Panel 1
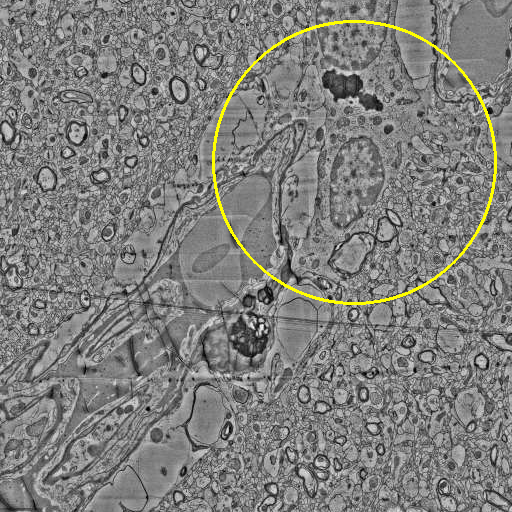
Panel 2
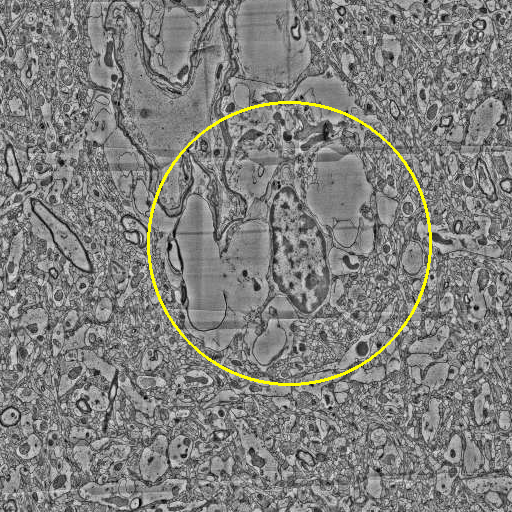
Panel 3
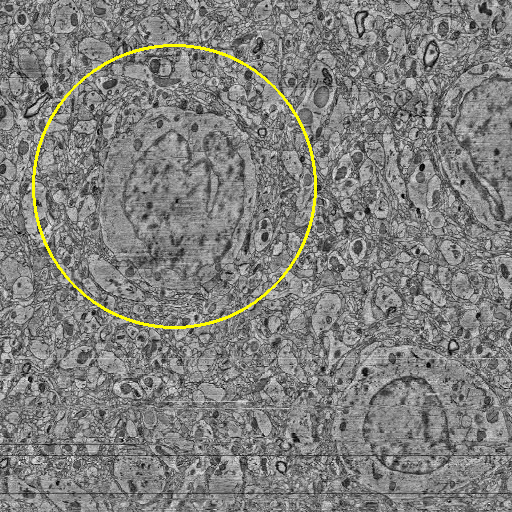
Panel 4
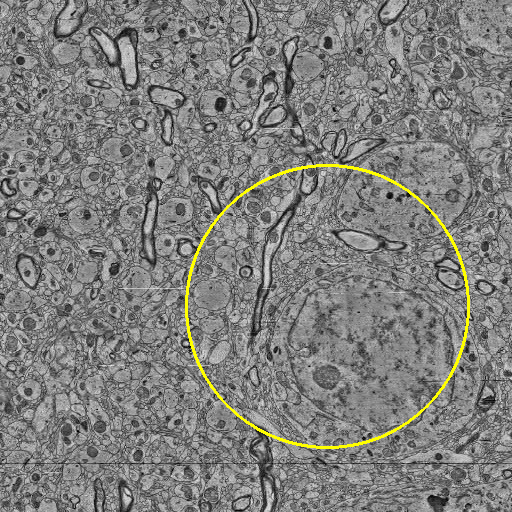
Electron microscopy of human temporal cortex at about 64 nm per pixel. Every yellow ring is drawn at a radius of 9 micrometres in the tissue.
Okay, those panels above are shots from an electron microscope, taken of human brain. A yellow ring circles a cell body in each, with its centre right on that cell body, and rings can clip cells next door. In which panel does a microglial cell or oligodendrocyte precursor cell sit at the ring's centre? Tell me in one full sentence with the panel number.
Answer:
The cell you asked for sits at the ring's centre in panel 2.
